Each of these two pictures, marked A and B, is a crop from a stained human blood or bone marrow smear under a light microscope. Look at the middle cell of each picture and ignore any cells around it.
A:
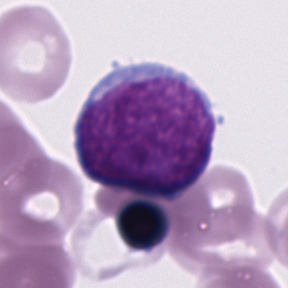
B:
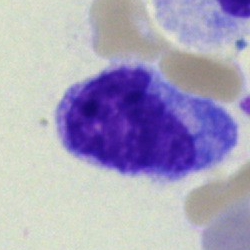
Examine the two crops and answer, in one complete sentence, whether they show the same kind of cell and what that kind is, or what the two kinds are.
No, crop A is of a blast, and crop B is of a monocyte.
